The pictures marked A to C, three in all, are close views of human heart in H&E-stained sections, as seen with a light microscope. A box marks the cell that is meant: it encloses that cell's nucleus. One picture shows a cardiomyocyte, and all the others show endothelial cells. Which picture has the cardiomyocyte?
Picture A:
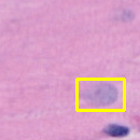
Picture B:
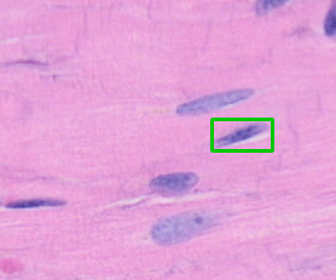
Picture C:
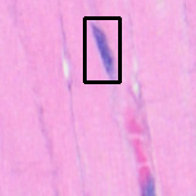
A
